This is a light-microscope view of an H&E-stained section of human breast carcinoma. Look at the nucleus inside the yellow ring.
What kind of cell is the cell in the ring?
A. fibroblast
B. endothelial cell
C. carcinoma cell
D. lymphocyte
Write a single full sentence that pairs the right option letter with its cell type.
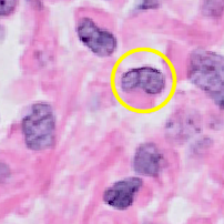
In the section, the cell in the ring is a carcinoma cell, and option C is correct accordingly.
